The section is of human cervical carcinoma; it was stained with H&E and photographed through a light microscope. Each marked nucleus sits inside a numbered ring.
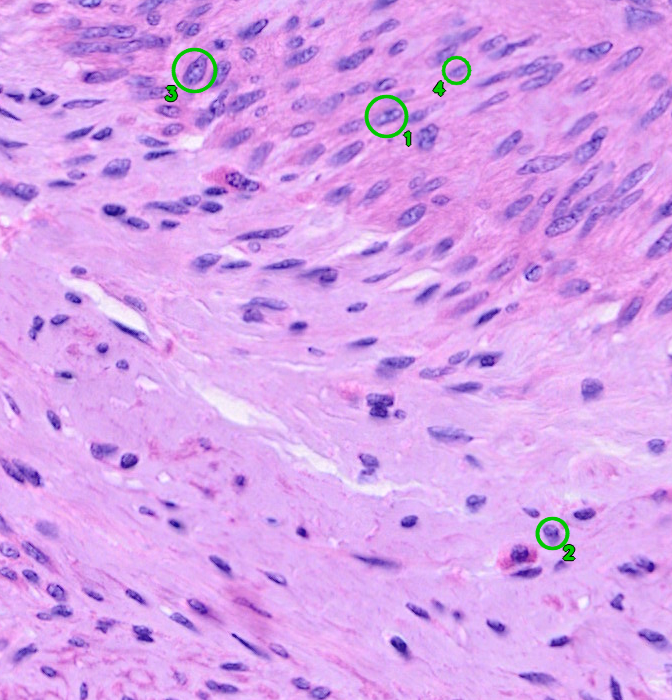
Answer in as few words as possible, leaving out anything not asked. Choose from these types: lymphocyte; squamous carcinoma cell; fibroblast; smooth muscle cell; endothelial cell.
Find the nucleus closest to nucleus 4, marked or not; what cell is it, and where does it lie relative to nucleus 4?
a smooth muscle cell, above and to the left of nucleus 4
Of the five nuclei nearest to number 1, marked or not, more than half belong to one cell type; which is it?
smooth muscle cell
